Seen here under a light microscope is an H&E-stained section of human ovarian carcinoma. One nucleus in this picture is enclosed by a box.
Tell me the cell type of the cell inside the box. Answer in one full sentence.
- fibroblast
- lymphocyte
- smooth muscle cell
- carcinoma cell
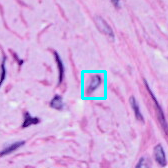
Just put down that the cell inside the box is a fibroblast.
